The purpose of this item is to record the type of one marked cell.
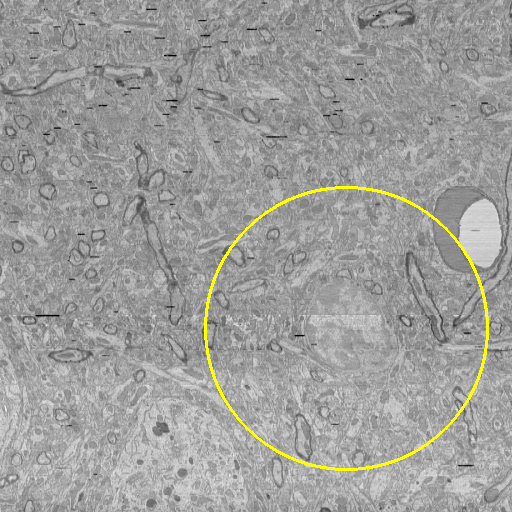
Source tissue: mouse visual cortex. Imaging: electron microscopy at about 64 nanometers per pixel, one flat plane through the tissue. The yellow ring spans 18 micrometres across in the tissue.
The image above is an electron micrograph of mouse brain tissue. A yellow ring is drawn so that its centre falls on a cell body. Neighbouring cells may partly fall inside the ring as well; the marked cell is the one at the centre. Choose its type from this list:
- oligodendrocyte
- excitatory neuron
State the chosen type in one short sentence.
What the ring marks here is an oligodendrocyte.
